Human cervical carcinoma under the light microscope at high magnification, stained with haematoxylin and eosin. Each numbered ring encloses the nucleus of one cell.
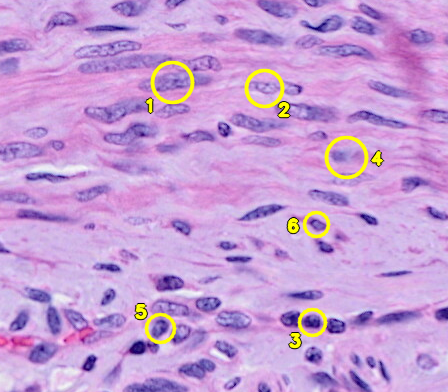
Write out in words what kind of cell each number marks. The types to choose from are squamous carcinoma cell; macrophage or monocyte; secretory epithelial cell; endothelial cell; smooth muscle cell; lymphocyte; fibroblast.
Cell 1 is a smooth muscle cell, cell 2 is a smooth muscle cell, cell 3 is a lymphocyte, cell 4 is a smooth muscle cell, cell 5 is a lymphocyte and cell 6 is a smooth muscle cell.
